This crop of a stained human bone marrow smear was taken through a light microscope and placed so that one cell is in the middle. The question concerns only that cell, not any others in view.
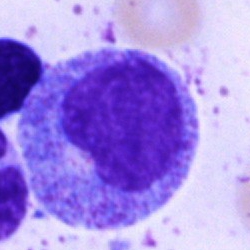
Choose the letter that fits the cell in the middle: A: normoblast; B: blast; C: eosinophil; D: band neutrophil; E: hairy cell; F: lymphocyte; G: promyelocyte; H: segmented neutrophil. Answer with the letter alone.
G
